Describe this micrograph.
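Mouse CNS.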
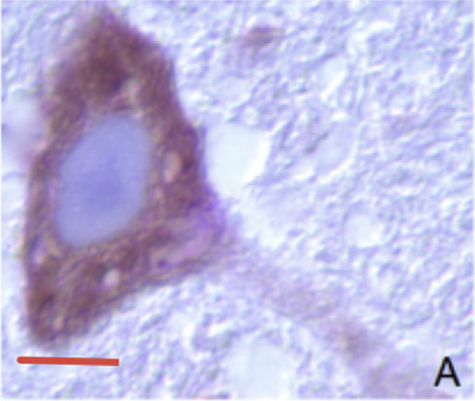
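The cell body is angular to triangular, its cytoplasm densely filled with brown granular stain, with some paler vacuole-like spots. A large, round to oval, pale blue nucleus lies roughly centrally, without brown stain. A tapering process leaves the cell body toward the lower right and carries fainter brown stain along its length. Around the cell lies pale, finely granular, reticulated neuropil with a light bluish-purple tint and small clear spaces, one beside the cell body at the upper right.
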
